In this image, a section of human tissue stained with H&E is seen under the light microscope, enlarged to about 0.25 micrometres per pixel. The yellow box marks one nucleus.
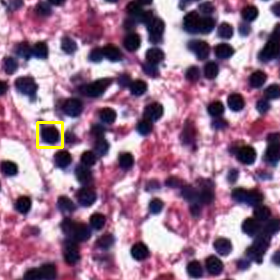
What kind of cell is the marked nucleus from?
cerebellar granule cell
